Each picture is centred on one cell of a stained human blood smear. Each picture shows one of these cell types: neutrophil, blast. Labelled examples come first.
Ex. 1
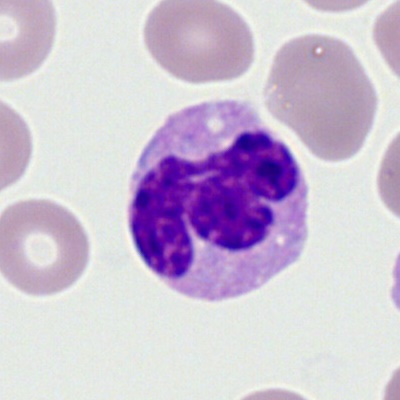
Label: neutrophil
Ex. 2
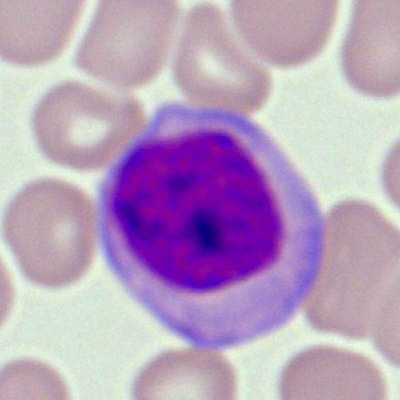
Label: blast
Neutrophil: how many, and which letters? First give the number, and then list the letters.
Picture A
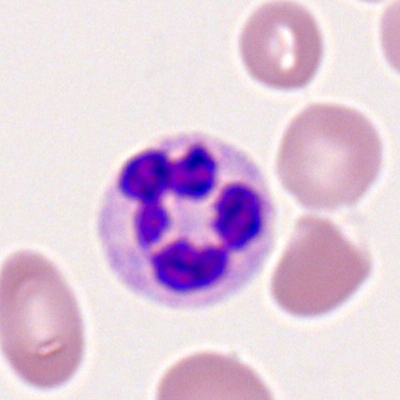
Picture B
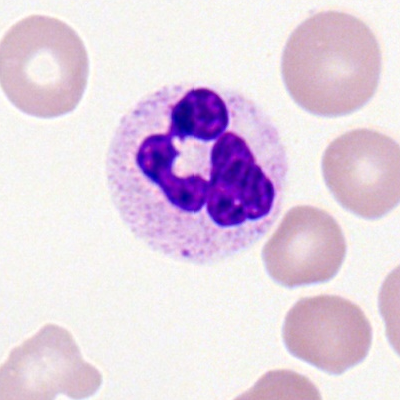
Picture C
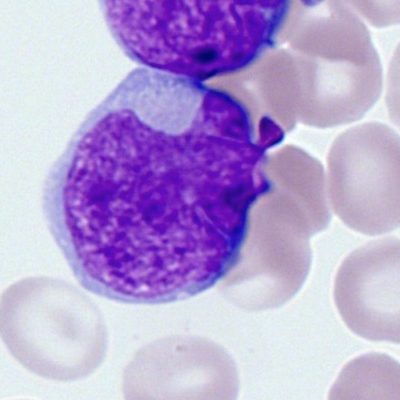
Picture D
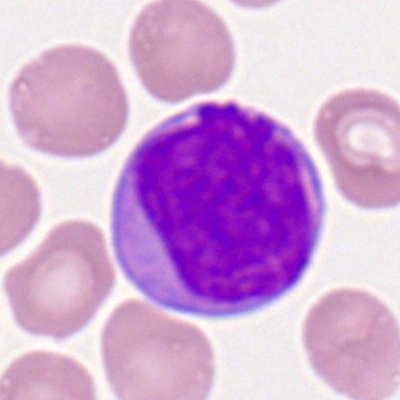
2, namely A, B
